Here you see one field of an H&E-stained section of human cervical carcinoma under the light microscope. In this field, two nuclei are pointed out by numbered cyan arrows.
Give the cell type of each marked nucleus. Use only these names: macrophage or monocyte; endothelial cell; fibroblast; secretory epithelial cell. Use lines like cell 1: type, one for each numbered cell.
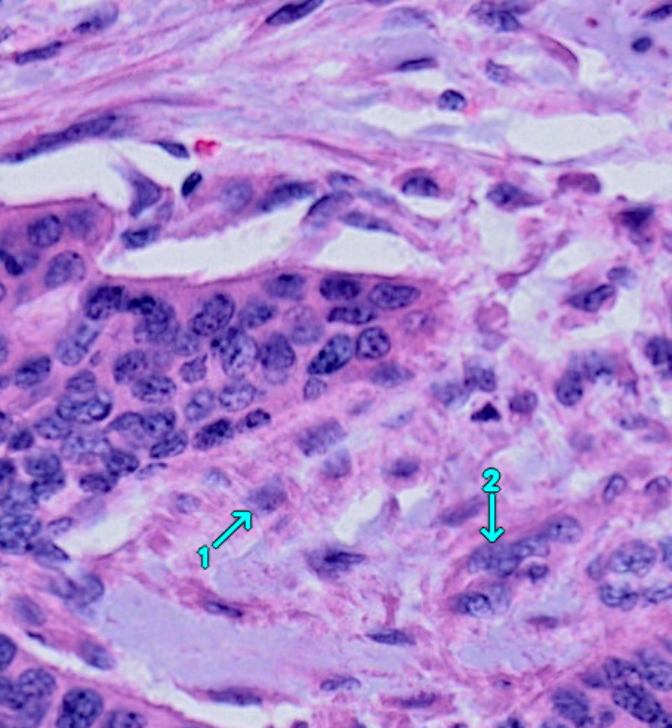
cell 1: fibroblast
cell 2: endothelial cell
